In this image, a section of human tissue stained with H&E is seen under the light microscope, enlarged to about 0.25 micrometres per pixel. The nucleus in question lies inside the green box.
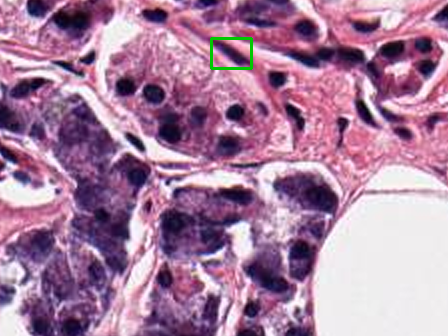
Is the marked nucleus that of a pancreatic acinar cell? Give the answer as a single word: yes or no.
no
